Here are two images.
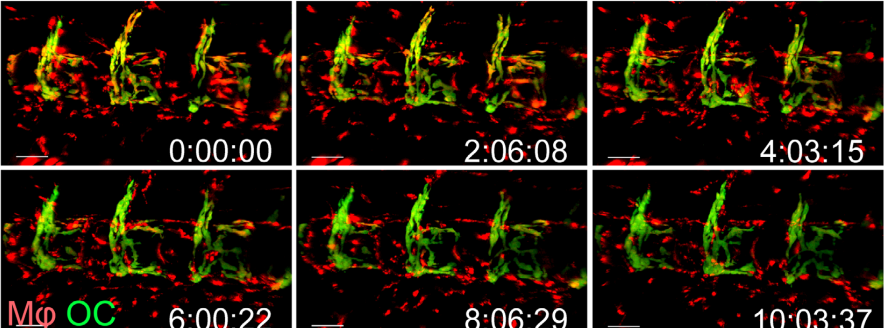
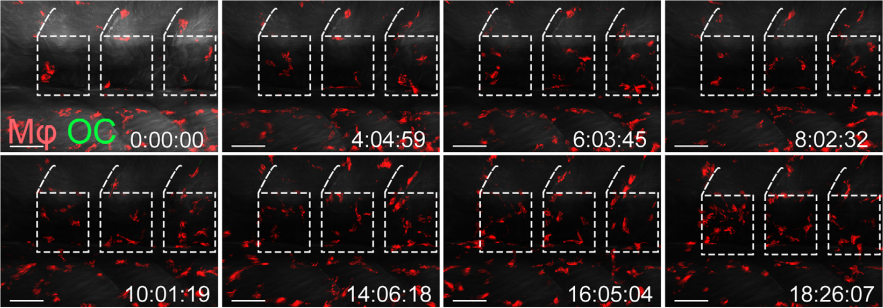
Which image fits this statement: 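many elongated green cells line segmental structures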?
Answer: The first image.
